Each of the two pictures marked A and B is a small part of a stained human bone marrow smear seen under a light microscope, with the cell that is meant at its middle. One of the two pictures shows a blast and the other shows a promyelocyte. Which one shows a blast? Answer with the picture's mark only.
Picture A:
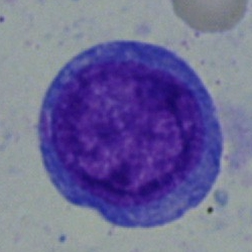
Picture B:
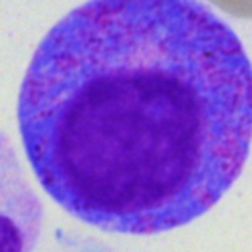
A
